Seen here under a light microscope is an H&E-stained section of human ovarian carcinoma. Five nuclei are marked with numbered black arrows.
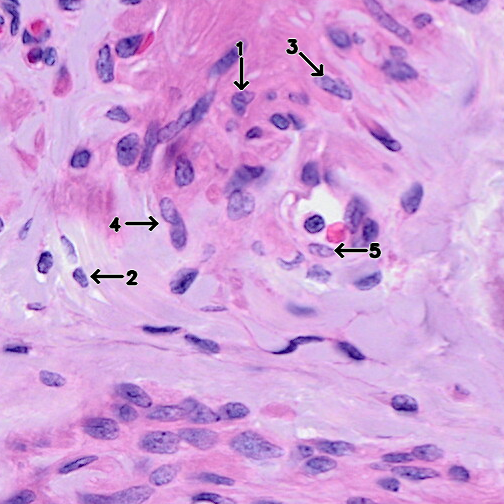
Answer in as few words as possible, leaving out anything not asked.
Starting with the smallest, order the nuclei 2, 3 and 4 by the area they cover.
2, 3, 4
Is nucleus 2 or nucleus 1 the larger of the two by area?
1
